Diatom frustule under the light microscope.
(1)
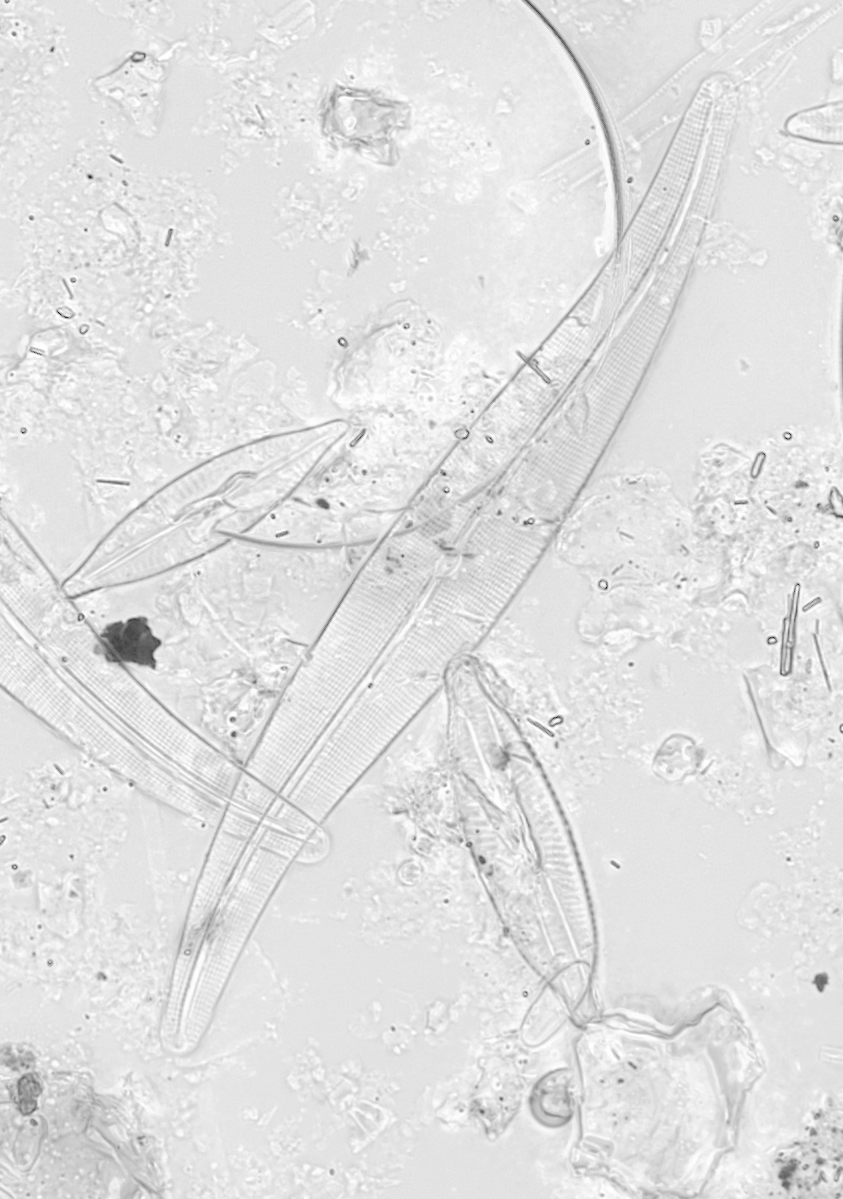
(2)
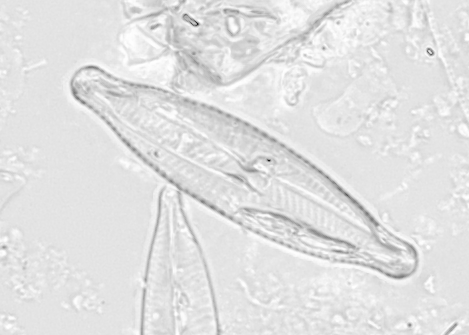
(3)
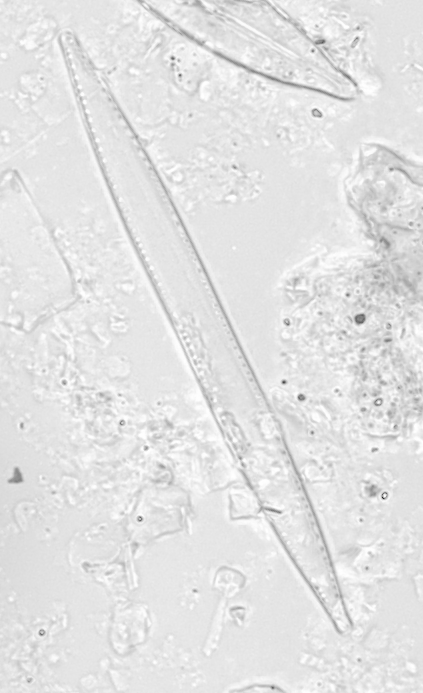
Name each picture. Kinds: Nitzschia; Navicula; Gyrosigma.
(1) Gyrosigma
(2) Navicula
(3) Nitzschia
